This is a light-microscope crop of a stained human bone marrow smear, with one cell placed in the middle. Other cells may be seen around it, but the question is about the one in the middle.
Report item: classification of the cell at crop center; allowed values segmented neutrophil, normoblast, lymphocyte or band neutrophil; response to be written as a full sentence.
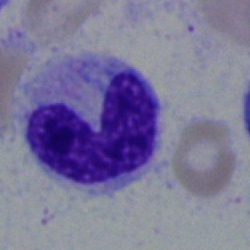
The centrally positioned cell in the crop represents a band neutrophil.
